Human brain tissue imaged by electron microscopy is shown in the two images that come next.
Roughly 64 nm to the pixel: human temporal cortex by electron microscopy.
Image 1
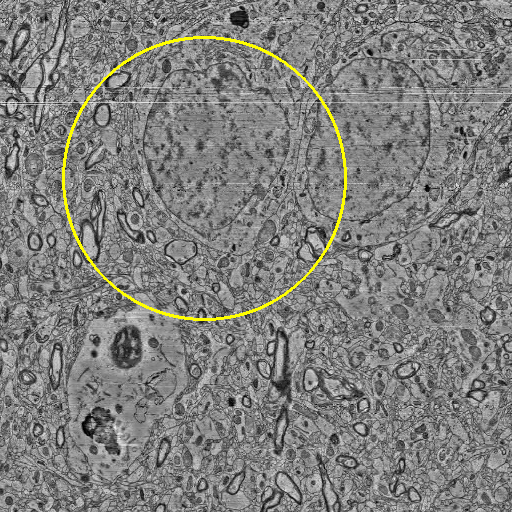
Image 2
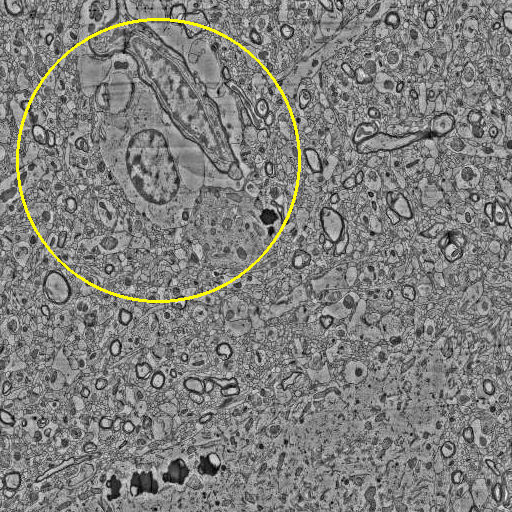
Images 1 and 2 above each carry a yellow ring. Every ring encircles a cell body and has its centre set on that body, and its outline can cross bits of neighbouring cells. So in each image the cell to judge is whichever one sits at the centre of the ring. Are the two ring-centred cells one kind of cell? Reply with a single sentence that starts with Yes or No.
No, in Image 1 and Image 2 the cells at the centres of their rings fall into two types.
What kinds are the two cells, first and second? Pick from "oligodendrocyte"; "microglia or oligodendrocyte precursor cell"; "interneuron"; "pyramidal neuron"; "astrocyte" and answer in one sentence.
The second picture holds a microglial cell or oligodendrocyte precursor cell in its ring, and the first holds a pyramidal neuron.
